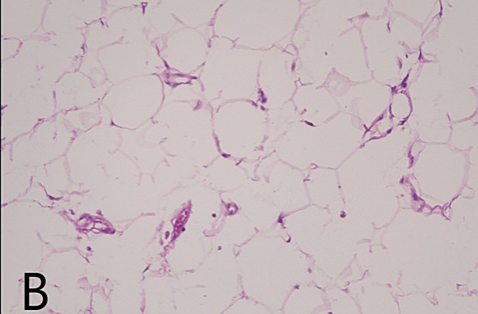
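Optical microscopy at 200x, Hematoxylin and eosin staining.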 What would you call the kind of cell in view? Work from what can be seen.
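Mature adipose cells. Large, empty-looking polygonal cells bounded by thin pink membranes. Few nuclei, small and pressed to the cell edge. No cytoplasm visible apart from the thin rim.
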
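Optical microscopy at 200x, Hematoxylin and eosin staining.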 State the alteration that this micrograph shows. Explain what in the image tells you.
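Vary in shape and size. The empty cells range from small to large. Their outlines differ, some rounded and some angular.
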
